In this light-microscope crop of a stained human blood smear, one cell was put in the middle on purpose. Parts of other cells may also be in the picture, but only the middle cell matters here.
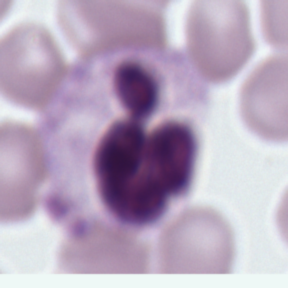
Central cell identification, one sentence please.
The cell found in the middle of this crop is a segmented neutrophil.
